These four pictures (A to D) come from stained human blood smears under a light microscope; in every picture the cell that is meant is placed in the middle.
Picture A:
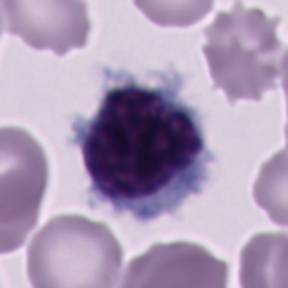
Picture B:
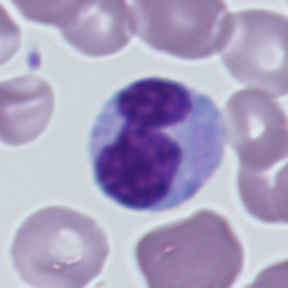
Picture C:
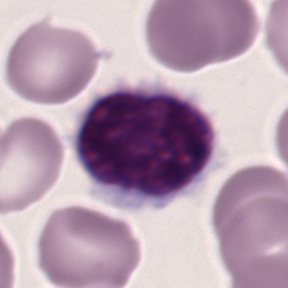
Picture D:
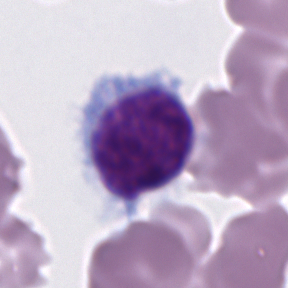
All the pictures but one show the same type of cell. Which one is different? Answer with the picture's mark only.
B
